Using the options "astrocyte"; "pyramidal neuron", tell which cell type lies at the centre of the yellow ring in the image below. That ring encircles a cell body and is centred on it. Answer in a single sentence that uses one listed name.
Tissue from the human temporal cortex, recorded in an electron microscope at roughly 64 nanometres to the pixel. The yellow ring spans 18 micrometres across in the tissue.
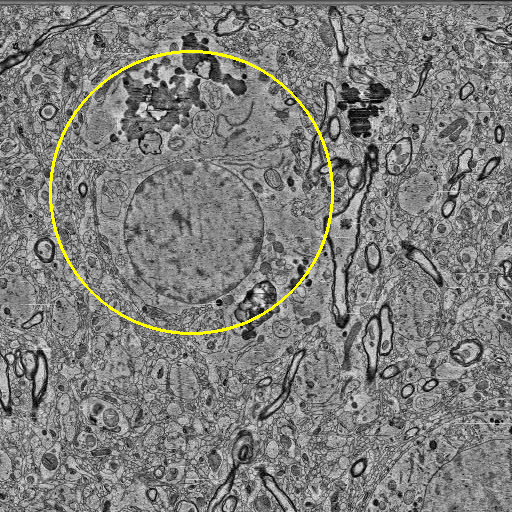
At the centre of the yellow ring lies the body of an astrocyte.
